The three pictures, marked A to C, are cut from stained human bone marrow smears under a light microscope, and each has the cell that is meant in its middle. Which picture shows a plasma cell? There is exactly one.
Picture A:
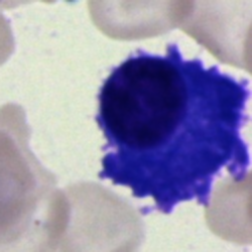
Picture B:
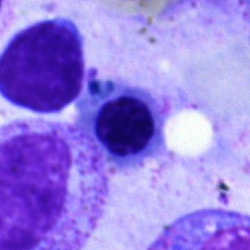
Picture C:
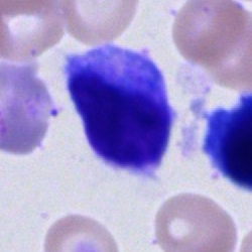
A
